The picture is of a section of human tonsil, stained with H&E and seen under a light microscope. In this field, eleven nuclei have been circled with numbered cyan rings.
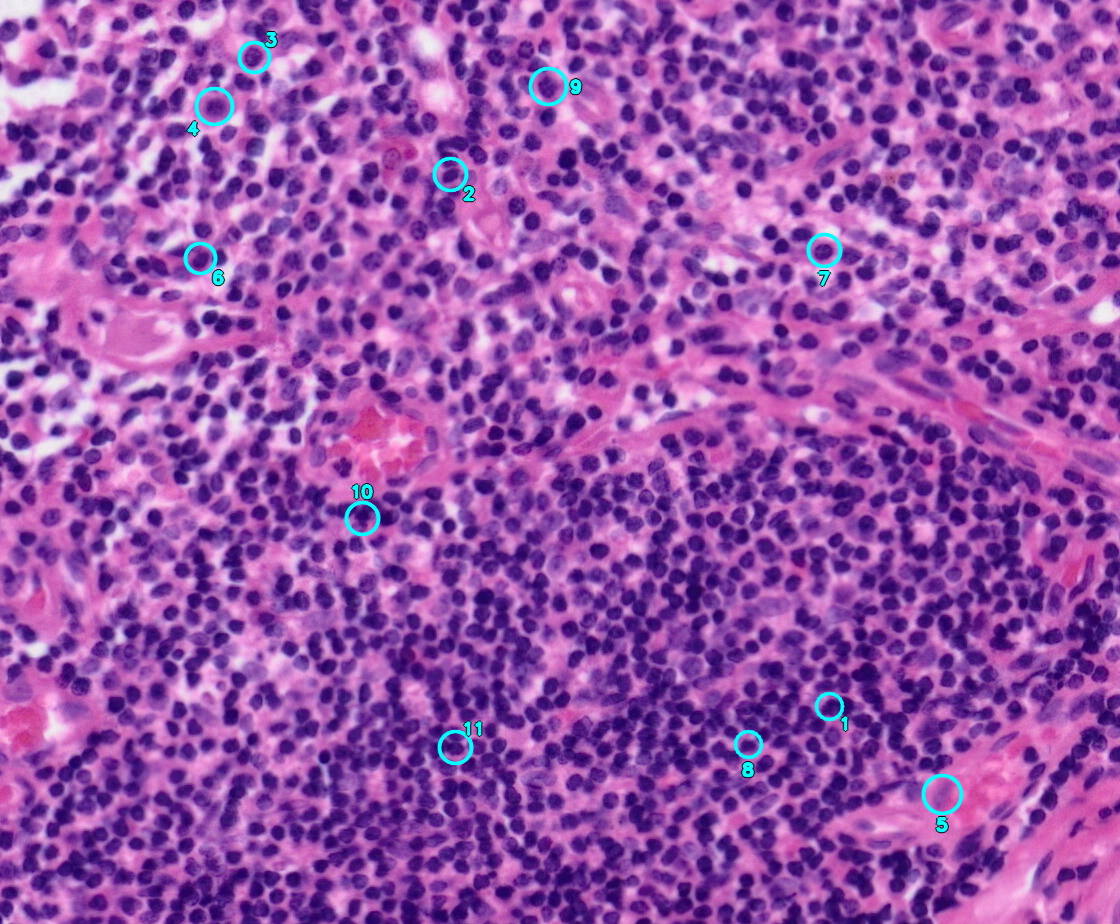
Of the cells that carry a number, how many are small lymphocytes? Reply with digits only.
5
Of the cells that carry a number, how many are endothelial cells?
1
